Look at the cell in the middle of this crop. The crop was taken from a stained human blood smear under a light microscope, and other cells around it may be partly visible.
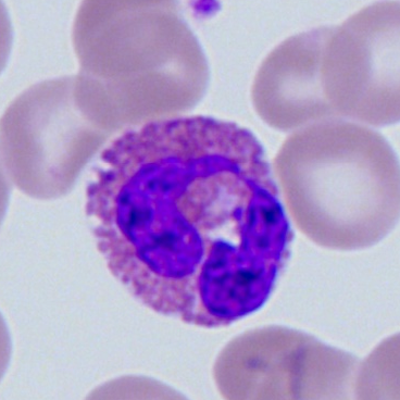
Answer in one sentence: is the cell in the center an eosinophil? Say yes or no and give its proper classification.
Yes, the cell of interest in the centre is an eosinophil.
